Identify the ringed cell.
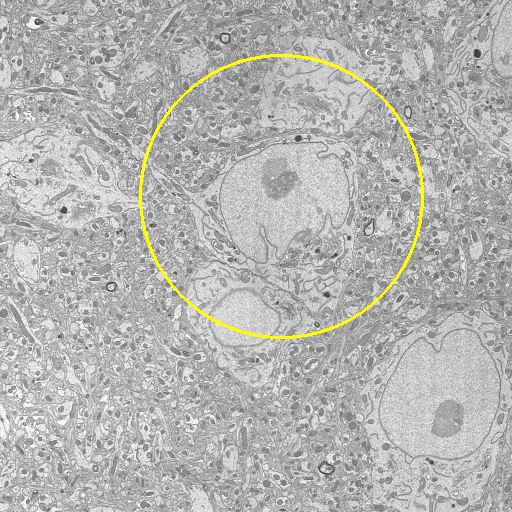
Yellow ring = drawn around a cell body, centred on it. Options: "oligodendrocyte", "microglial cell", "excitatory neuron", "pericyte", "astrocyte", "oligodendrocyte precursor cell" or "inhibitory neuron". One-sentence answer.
What the ring is centred on is an inhibitory neuron.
